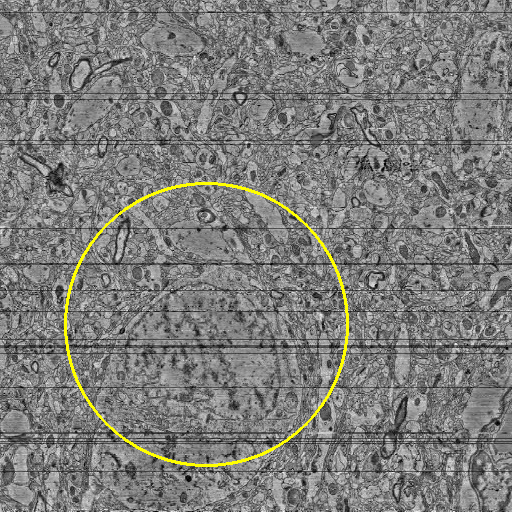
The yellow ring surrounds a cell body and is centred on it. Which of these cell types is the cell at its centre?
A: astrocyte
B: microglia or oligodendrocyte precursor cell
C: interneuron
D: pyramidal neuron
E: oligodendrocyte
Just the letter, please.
C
